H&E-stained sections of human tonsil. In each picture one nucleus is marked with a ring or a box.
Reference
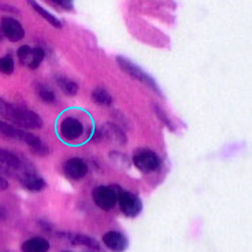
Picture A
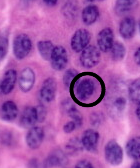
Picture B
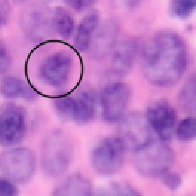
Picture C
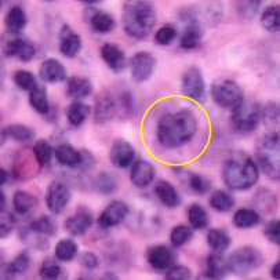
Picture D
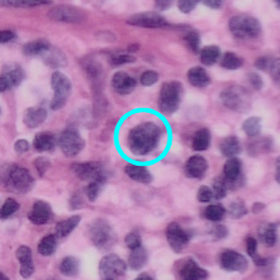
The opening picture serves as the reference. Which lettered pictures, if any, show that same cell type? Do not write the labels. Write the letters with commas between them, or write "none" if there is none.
A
